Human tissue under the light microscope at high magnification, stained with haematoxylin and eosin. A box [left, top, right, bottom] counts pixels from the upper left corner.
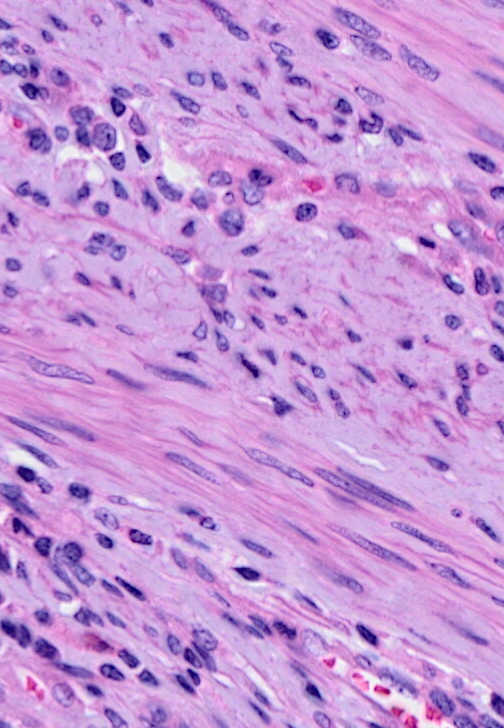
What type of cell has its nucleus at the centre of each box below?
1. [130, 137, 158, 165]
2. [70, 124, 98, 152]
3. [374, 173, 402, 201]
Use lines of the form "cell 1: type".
cell 1: lymphocyte
cell 2: lymphocyte
cell 3: endothelial cell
